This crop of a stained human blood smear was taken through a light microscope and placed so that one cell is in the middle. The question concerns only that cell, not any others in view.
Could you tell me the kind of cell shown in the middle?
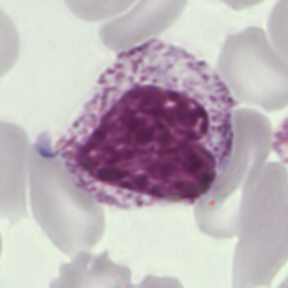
band neutrophil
